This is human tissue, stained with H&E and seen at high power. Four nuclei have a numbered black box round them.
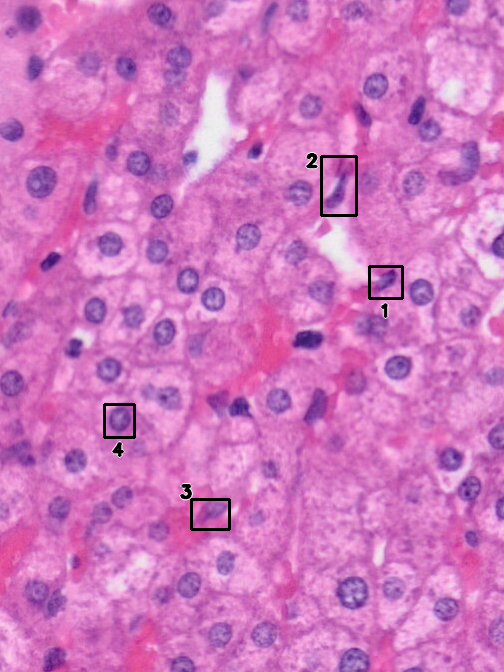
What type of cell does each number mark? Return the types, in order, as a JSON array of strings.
["fibroblast or stellate cell", "Kupffer cell", "Kupffer cell", "hepatocyte"]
